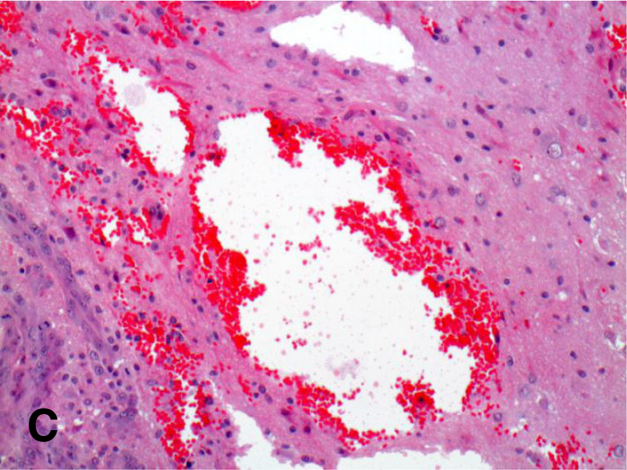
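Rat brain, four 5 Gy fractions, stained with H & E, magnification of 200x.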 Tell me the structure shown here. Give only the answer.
Dilated (ectatic) vessels.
